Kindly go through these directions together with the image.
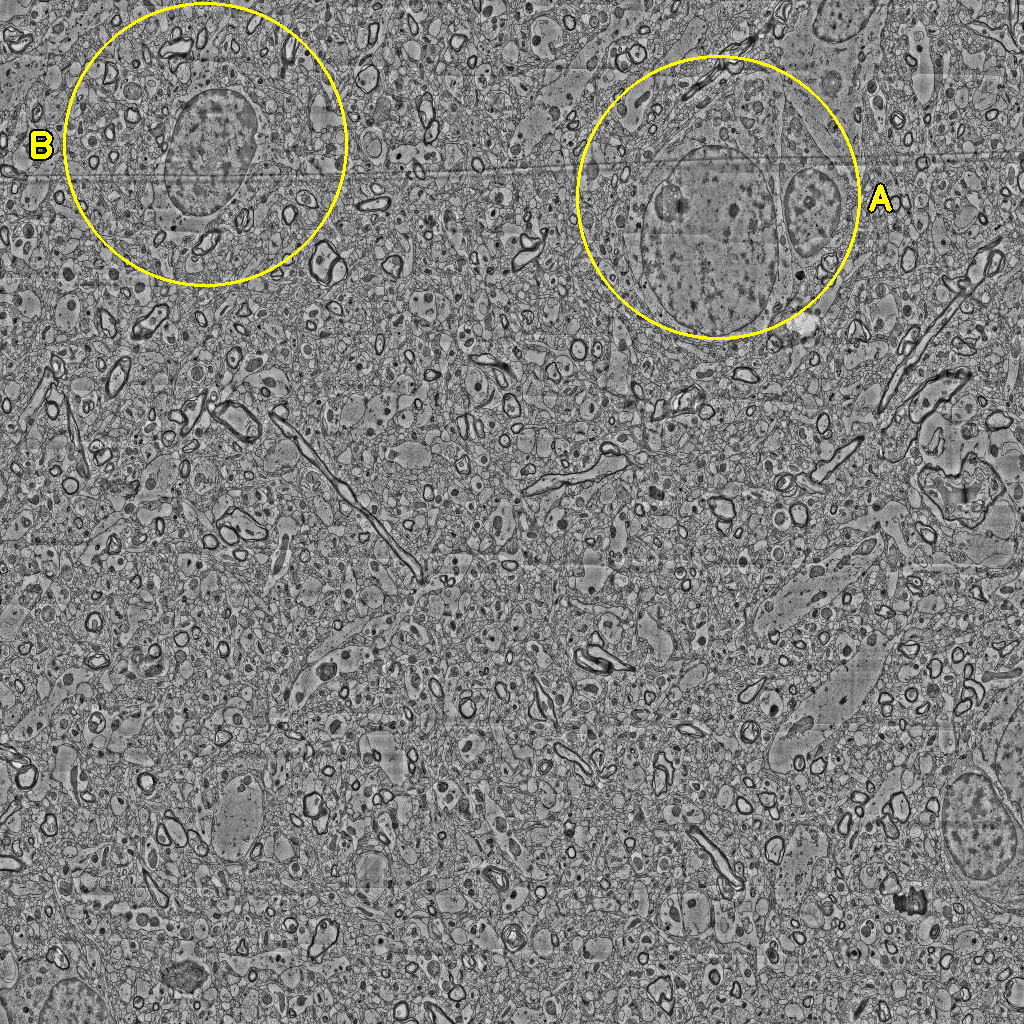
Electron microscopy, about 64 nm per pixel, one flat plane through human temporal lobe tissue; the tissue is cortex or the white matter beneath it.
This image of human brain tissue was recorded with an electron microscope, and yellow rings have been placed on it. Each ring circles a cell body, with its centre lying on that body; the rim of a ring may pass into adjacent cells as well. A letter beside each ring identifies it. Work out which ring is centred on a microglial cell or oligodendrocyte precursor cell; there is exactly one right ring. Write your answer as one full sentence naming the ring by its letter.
Ring B is the one whose centre lies on a cell of that kind.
